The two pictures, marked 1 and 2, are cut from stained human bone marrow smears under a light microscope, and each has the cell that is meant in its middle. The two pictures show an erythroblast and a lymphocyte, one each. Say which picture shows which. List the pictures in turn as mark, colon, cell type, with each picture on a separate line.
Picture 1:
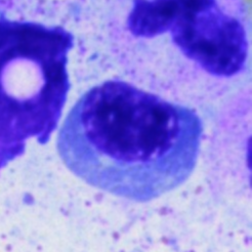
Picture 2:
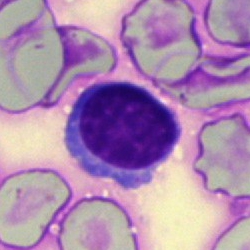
1: erythroblast
2: lymphocyte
